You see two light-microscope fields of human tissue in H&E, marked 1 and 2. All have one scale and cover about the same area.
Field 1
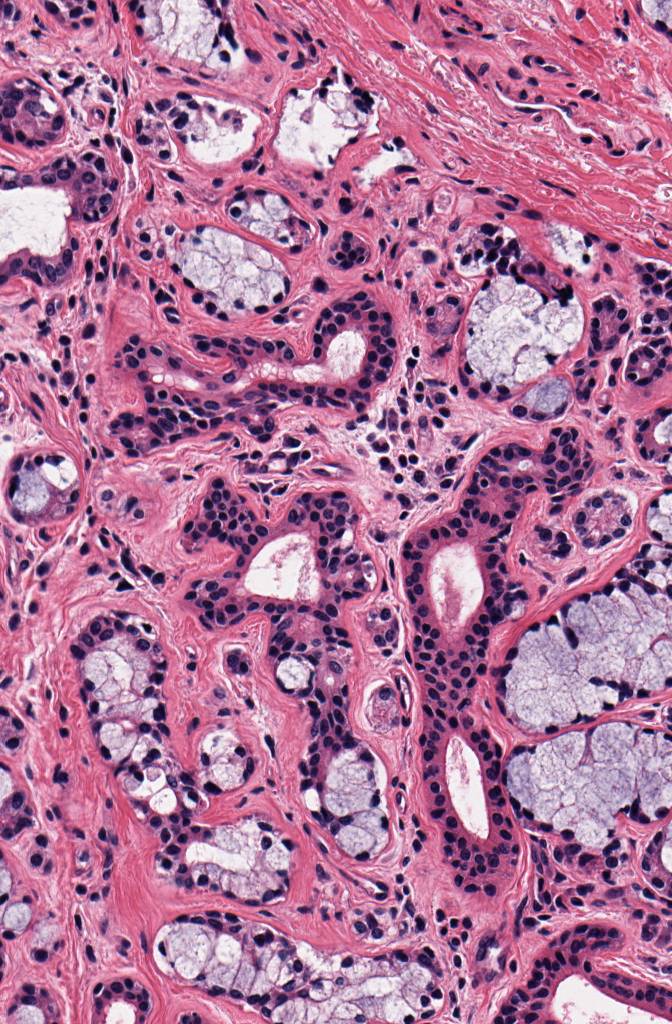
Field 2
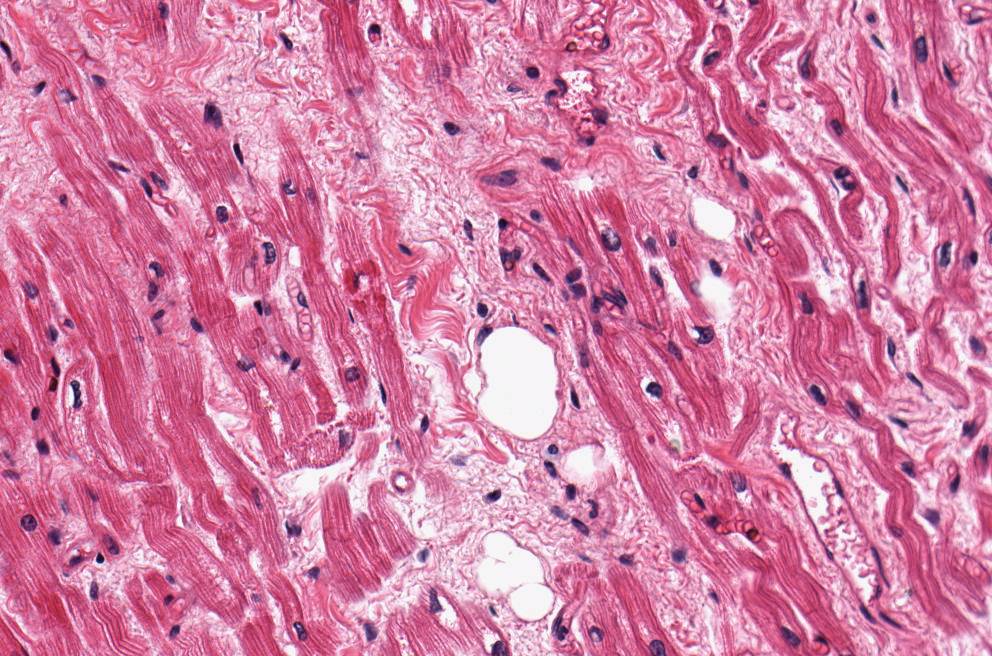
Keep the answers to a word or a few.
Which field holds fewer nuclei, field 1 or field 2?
2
